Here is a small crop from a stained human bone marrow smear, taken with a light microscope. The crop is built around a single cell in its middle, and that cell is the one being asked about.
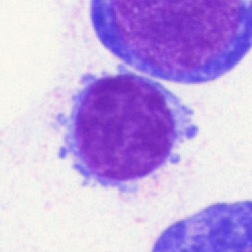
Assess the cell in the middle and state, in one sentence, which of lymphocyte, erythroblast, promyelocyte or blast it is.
Where the crop is centred, there is a lymphocyte.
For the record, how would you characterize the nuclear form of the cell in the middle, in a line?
Round, oval or kidney-shaped, the nucleus is one compact mass.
